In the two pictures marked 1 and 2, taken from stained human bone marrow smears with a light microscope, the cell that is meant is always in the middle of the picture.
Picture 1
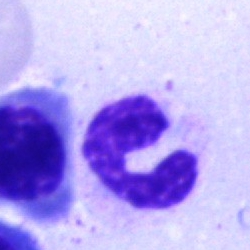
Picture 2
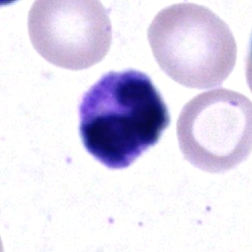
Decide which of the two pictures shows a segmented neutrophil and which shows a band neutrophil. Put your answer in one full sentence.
Picture 1 shows a band neutrophil and picture 2 shows a segmented neutrophil.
